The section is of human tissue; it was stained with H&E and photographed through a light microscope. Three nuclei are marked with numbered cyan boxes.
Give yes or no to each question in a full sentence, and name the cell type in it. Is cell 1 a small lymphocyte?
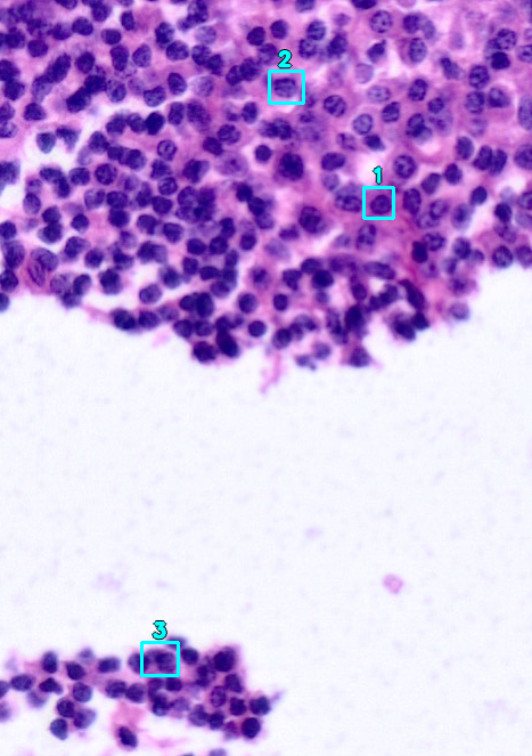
No, what is marked as number 1 is a plasma cell rather than a small lymphocyte.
